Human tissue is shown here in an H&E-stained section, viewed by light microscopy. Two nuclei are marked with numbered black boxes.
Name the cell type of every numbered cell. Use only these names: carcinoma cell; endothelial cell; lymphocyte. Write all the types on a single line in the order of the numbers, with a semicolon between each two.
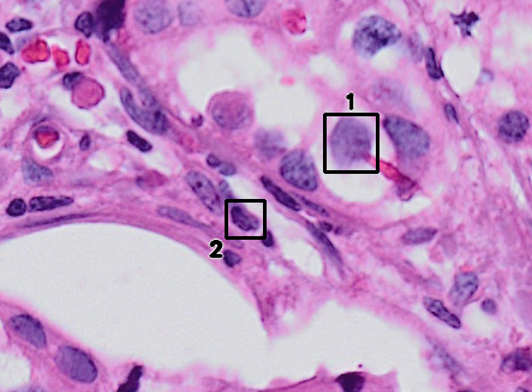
carcinoma cell; lymphocyte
